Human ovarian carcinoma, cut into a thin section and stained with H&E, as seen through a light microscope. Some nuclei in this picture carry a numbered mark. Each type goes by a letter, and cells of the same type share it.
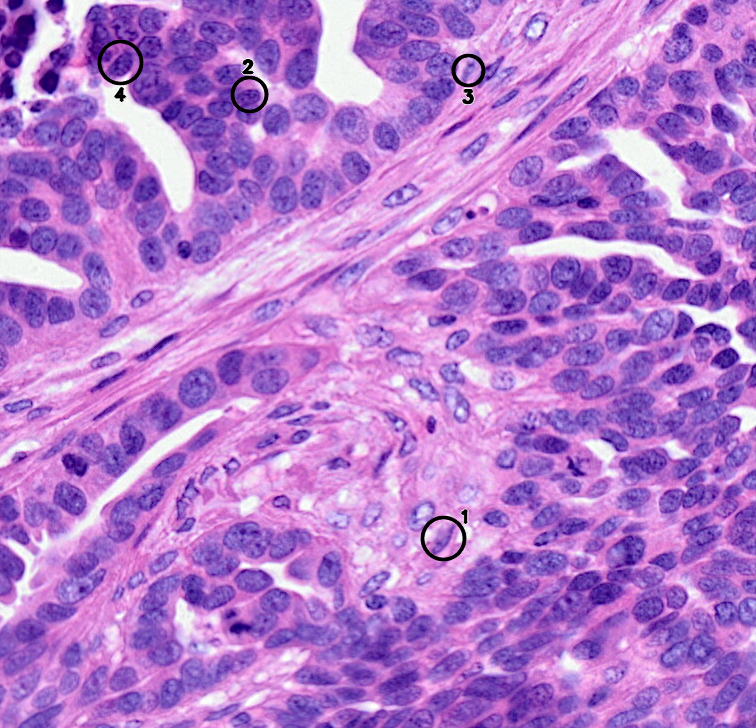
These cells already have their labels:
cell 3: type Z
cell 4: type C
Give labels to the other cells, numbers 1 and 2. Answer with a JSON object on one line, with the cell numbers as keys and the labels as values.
{"1": "type Z", "2": "type C"}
